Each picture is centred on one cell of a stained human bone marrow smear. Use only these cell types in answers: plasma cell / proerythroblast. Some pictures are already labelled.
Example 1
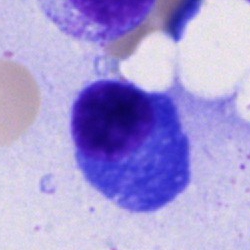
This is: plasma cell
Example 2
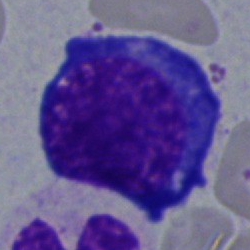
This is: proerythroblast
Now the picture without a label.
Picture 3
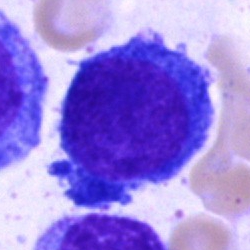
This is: proerythroblast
